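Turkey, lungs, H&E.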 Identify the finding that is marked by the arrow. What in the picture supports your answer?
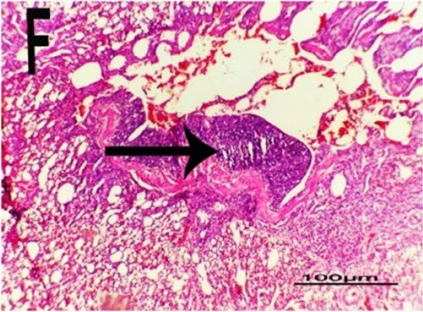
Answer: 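A thick, densely purple, folded cellular lining fills an airway. Crowded nuclei form a mass much thicker than the surrounding walls. On this evidence: Hyperplasia of the bronchial epithelium.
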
